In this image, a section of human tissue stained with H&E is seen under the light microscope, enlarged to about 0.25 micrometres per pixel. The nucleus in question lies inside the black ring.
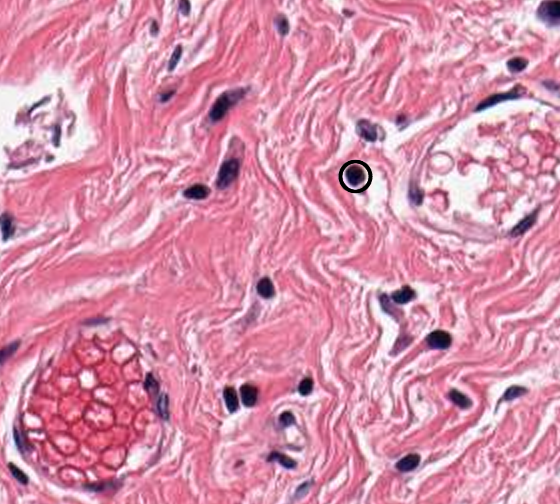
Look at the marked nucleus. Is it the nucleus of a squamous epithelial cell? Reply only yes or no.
no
